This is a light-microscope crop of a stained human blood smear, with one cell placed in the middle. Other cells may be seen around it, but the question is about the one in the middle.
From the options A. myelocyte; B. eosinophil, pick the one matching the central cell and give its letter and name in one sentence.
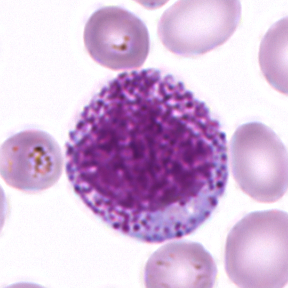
Seen at the centre of the crop is a myelocyte, so option A is correct.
